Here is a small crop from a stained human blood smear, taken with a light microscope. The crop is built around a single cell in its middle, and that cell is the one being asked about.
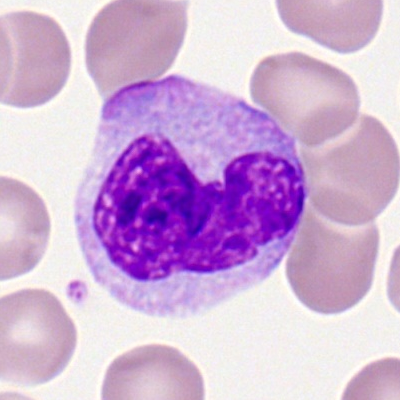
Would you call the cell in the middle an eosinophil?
no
